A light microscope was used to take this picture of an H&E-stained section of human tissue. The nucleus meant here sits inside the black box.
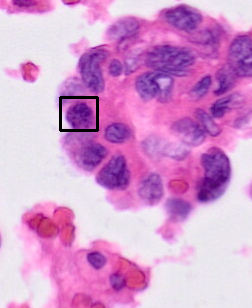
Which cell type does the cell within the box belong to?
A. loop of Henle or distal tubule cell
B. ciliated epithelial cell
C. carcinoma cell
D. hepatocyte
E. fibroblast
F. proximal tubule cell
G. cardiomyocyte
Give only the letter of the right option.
C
